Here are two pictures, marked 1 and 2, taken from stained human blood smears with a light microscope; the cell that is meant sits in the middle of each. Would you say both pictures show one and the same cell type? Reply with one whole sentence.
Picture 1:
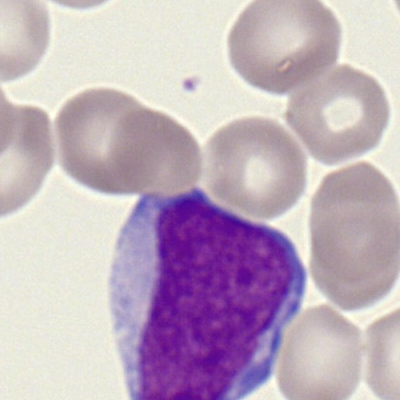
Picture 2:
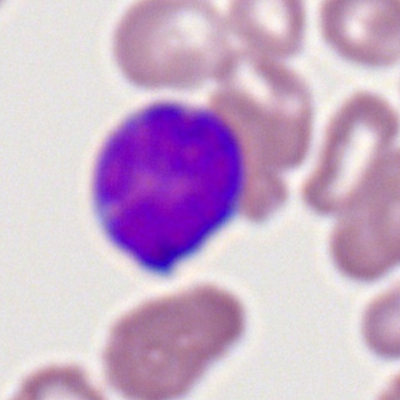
Yes, the two pictures both show myeloblasts.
